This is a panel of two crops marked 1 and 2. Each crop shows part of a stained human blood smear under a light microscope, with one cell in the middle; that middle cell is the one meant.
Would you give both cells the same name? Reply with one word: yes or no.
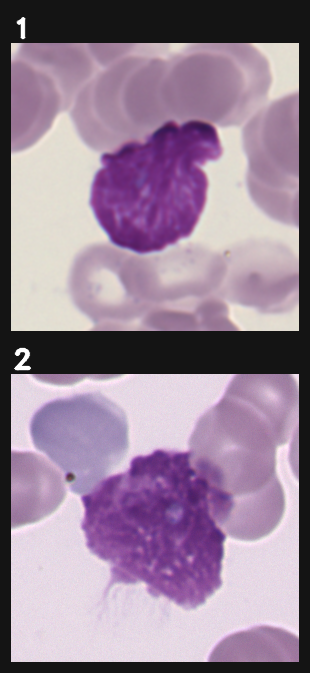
yes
